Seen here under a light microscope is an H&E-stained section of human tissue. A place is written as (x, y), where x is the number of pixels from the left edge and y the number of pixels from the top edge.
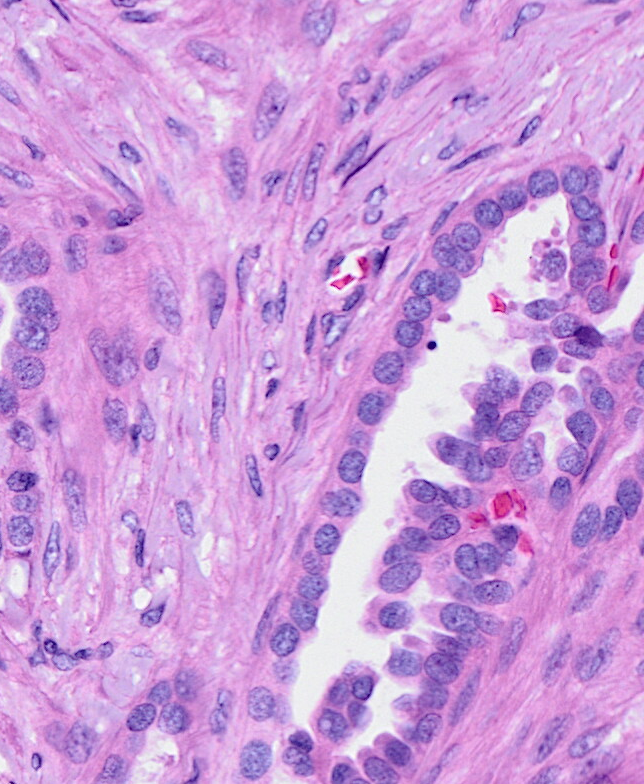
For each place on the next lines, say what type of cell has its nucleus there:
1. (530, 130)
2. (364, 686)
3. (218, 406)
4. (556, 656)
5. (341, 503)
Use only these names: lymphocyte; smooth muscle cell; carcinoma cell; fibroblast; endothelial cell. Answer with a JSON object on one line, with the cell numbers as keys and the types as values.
{"1": "fibroblast", "2": "carcinoma cell", "3": "fibroblast", "4": "fibroblast", "5": "carcinoma cell"}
